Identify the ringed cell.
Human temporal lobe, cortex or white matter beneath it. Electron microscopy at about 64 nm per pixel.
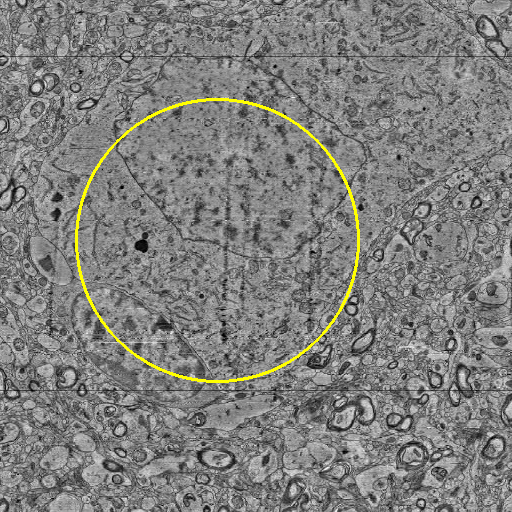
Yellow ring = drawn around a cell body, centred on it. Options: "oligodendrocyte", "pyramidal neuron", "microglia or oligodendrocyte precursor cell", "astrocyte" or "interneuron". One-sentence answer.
What the ring is centred on is a pyramidal neuron.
